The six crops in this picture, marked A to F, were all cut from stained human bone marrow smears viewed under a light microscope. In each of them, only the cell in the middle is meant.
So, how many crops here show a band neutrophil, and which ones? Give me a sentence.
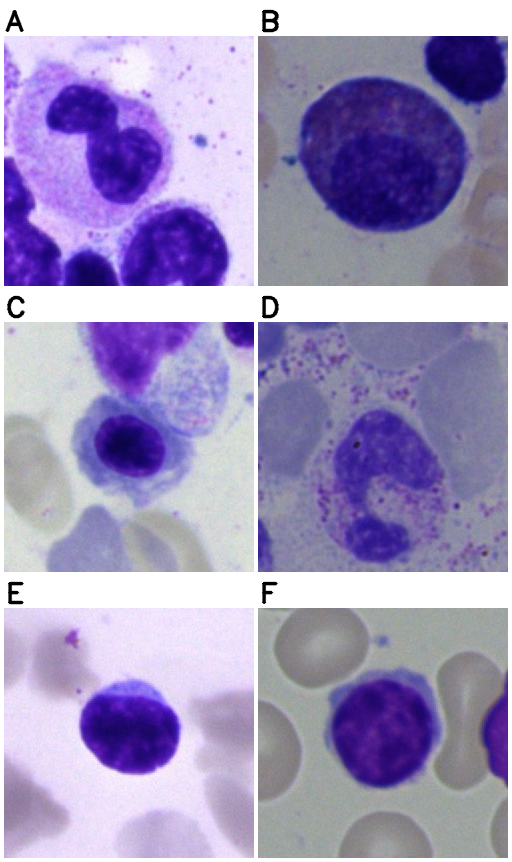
Crop A is the one and only crop showing a band neutrophil.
